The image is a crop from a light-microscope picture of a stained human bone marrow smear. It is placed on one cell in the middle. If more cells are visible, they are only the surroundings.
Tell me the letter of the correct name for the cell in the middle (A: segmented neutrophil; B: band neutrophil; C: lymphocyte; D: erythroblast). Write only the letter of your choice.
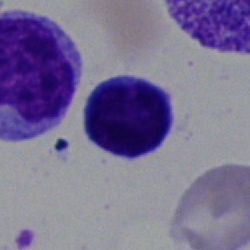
C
